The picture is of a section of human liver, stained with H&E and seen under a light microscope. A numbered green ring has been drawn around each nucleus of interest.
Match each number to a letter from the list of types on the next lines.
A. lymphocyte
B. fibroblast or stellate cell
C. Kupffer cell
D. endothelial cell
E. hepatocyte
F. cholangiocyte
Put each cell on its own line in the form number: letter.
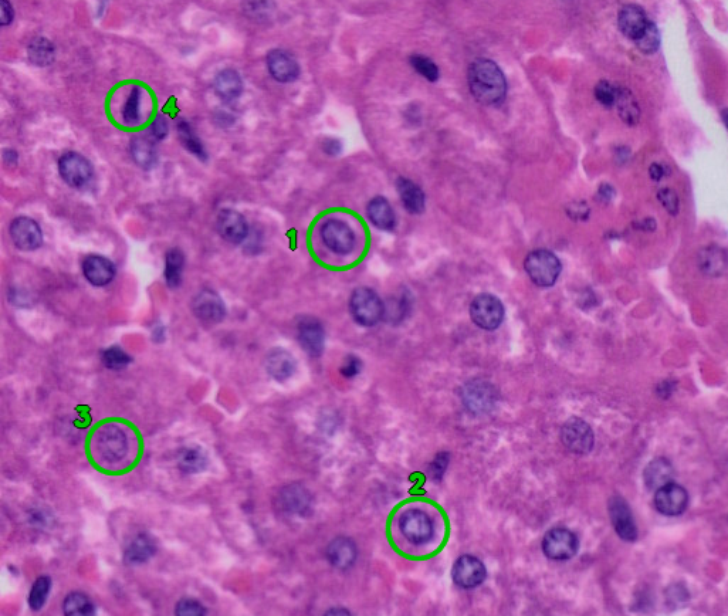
1: E
2: E
3: E
4: B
